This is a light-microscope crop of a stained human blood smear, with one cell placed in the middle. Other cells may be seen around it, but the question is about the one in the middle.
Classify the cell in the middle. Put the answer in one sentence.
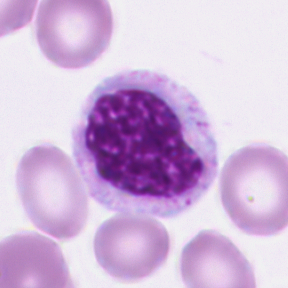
The cell of interest, located centrally, is a metamyelocyte.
